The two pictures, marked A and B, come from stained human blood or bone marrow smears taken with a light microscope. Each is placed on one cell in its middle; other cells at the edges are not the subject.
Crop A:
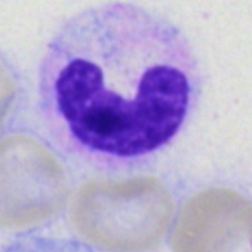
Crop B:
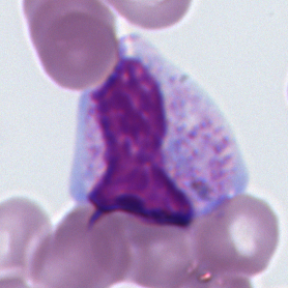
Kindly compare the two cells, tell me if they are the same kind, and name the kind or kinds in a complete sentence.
Yes, with regard to both crops, the central cells are band neutrophils.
